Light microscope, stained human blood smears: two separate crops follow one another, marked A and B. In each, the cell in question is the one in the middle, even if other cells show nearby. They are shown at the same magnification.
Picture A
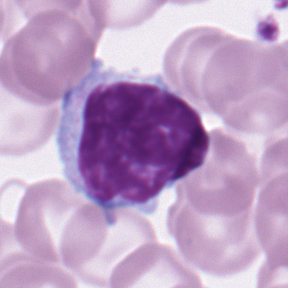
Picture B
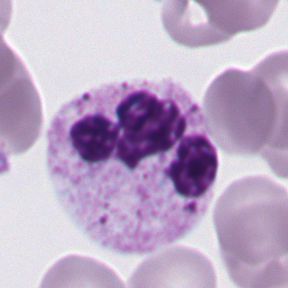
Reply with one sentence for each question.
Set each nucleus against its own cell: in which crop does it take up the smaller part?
Of the two, the nucleus in picture B leaves more room for cytoplasm.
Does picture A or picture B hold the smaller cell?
It is the cell in picture A; the cell in picture B has about 1.5 times its area.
